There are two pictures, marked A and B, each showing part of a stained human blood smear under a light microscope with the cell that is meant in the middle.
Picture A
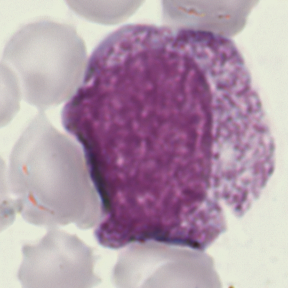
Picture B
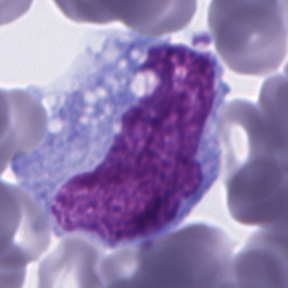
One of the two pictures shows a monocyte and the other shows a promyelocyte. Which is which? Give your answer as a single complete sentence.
In picture A the cell is a promyelocyte; in picture B, a monocyte.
